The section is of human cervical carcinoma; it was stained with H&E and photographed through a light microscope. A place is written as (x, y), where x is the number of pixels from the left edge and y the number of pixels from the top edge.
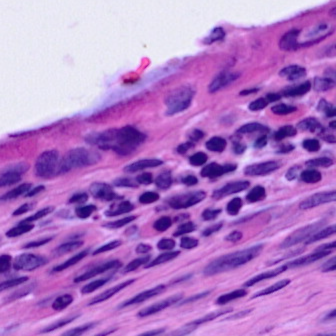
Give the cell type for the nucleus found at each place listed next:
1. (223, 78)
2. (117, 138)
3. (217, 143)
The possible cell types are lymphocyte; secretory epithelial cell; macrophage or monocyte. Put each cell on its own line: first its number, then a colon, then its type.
1: secretory epithelial cell
2: secretory epithelial cell
3: lymphocyte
